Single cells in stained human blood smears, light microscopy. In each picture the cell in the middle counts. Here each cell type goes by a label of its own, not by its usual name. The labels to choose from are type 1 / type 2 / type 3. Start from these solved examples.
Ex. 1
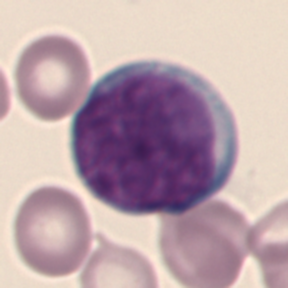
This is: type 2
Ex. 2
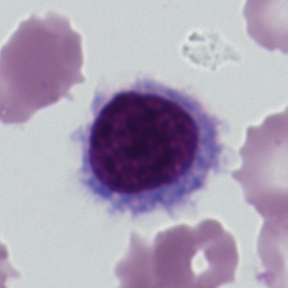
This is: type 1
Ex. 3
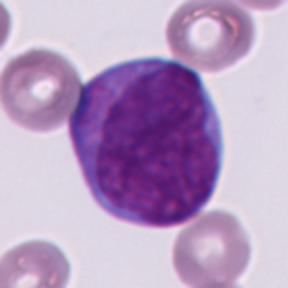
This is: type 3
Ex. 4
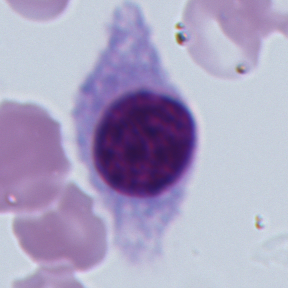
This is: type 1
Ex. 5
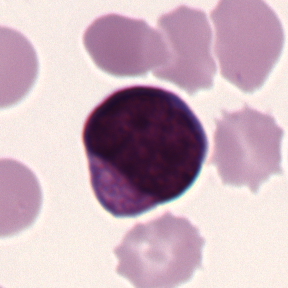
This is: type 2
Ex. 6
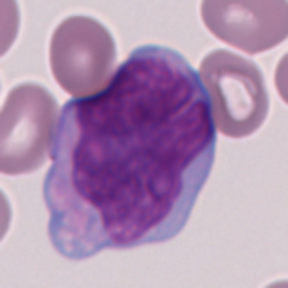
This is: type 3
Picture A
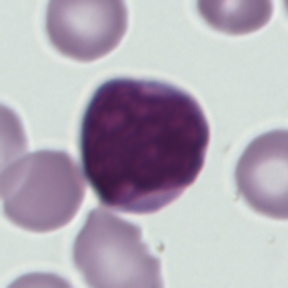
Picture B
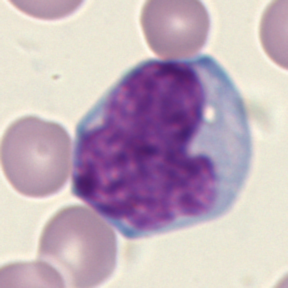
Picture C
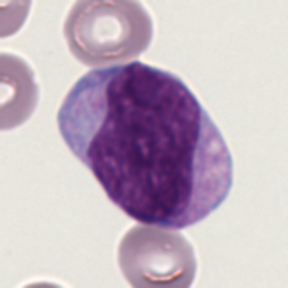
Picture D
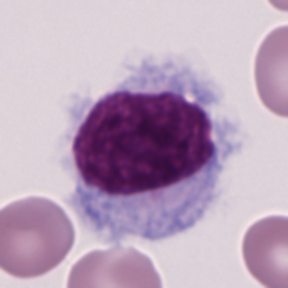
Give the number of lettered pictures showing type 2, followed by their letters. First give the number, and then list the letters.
2, namely A, B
